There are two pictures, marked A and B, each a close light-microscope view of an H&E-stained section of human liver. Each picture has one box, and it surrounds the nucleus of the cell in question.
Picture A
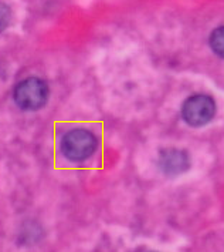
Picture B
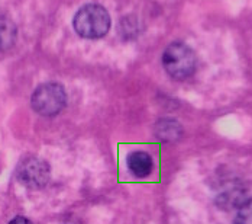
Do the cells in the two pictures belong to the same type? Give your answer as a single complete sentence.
No, the types are not the same, since picture A shows a hepatocyte and picture B a lymphocyte.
